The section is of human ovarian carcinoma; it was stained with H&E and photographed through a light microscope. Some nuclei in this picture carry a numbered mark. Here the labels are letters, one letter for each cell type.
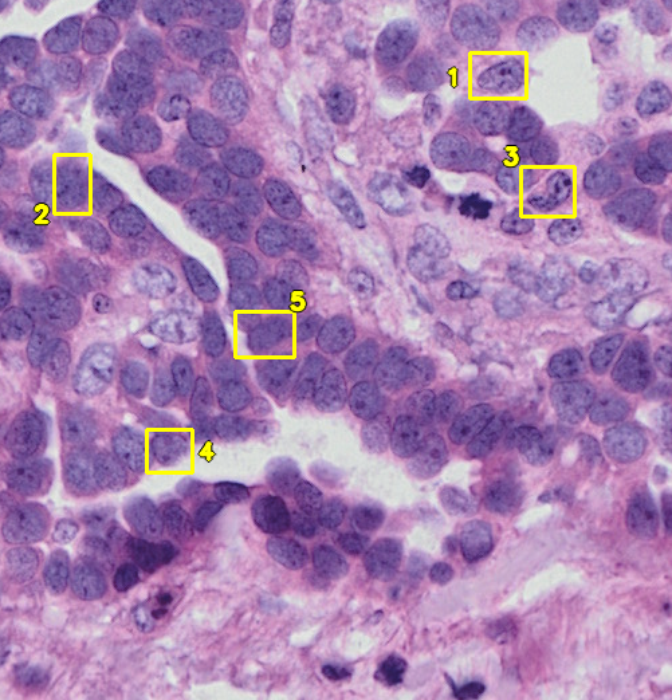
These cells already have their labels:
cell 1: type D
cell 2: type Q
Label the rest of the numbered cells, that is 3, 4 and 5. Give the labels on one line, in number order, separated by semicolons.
type D; type Q; type Q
